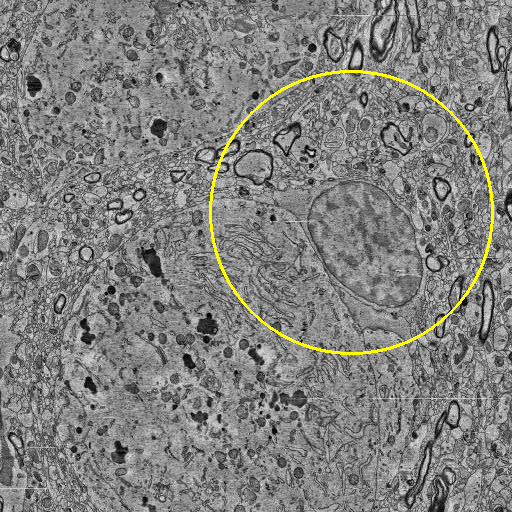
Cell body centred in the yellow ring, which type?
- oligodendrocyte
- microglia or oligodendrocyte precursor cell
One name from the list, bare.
oligodendrocyte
